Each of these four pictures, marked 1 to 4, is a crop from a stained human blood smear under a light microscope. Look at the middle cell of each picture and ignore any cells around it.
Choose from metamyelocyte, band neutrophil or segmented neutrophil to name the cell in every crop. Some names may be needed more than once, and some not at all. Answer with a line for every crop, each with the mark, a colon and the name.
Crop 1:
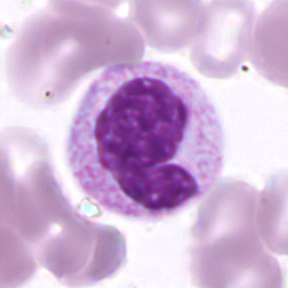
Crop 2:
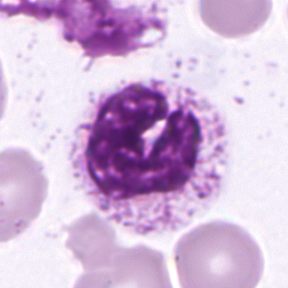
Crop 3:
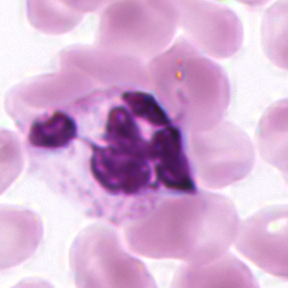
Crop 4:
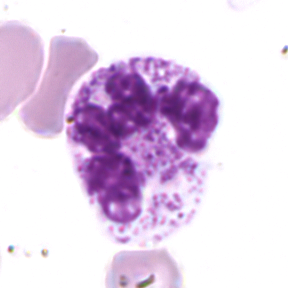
1: band neutrophil
2: band neutrophil
3: segmented neutrophil
4: segmented neutrophil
